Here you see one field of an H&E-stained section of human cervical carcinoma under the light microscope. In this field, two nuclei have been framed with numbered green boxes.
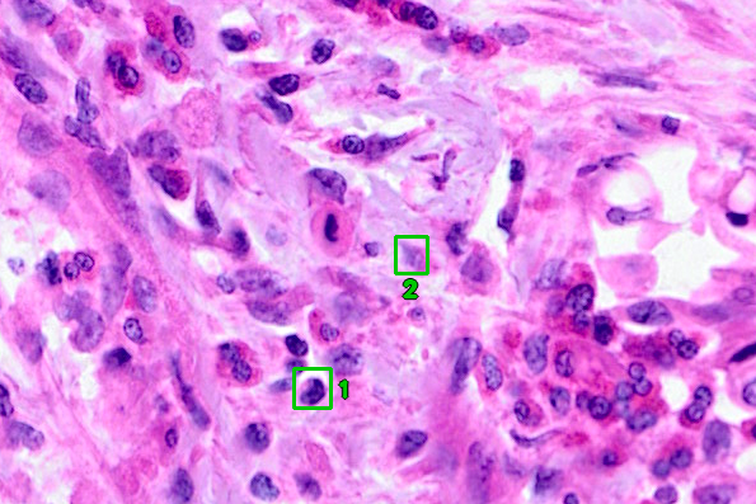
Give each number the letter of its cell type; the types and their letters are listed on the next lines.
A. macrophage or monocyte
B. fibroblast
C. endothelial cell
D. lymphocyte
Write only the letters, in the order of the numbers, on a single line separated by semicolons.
D; B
